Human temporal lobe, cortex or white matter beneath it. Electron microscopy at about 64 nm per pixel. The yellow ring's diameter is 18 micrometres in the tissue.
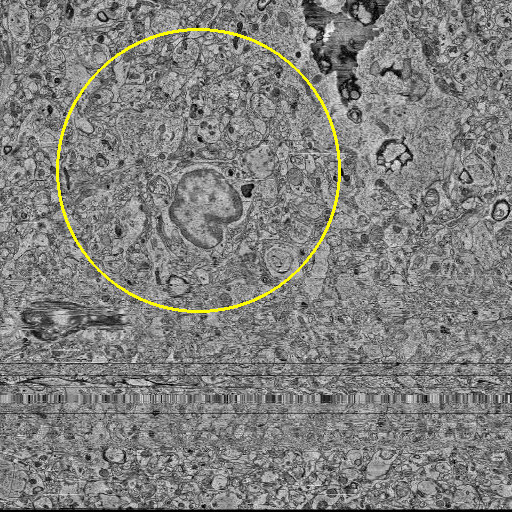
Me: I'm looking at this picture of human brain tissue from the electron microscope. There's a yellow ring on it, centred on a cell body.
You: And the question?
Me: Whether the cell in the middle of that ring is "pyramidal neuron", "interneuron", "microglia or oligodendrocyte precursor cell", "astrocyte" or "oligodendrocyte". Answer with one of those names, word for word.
microglia or oligodendrocyte precursor cell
